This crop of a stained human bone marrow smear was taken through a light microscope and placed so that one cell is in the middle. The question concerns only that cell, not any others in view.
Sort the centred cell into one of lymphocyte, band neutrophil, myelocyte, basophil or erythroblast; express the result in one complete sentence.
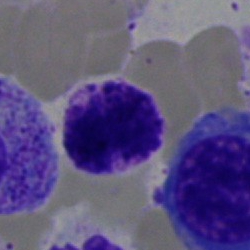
The cell found in the middle of this crop is a basophil.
